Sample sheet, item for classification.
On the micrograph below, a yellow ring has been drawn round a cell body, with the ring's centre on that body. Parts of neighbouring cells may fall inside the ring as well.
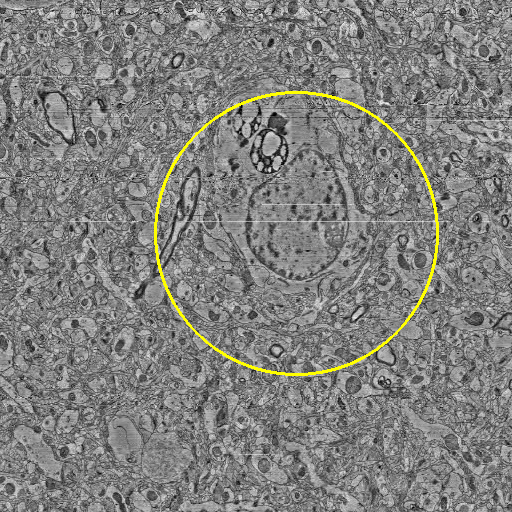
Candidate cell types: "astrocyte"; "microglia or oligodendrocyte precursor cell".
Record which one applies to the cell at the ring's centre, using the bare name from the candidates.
astrocyte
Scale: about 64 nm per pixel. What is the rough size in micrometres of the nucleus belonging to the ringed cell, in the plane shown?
The nucleus measures about 9 by 6 micrometres in this plane.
